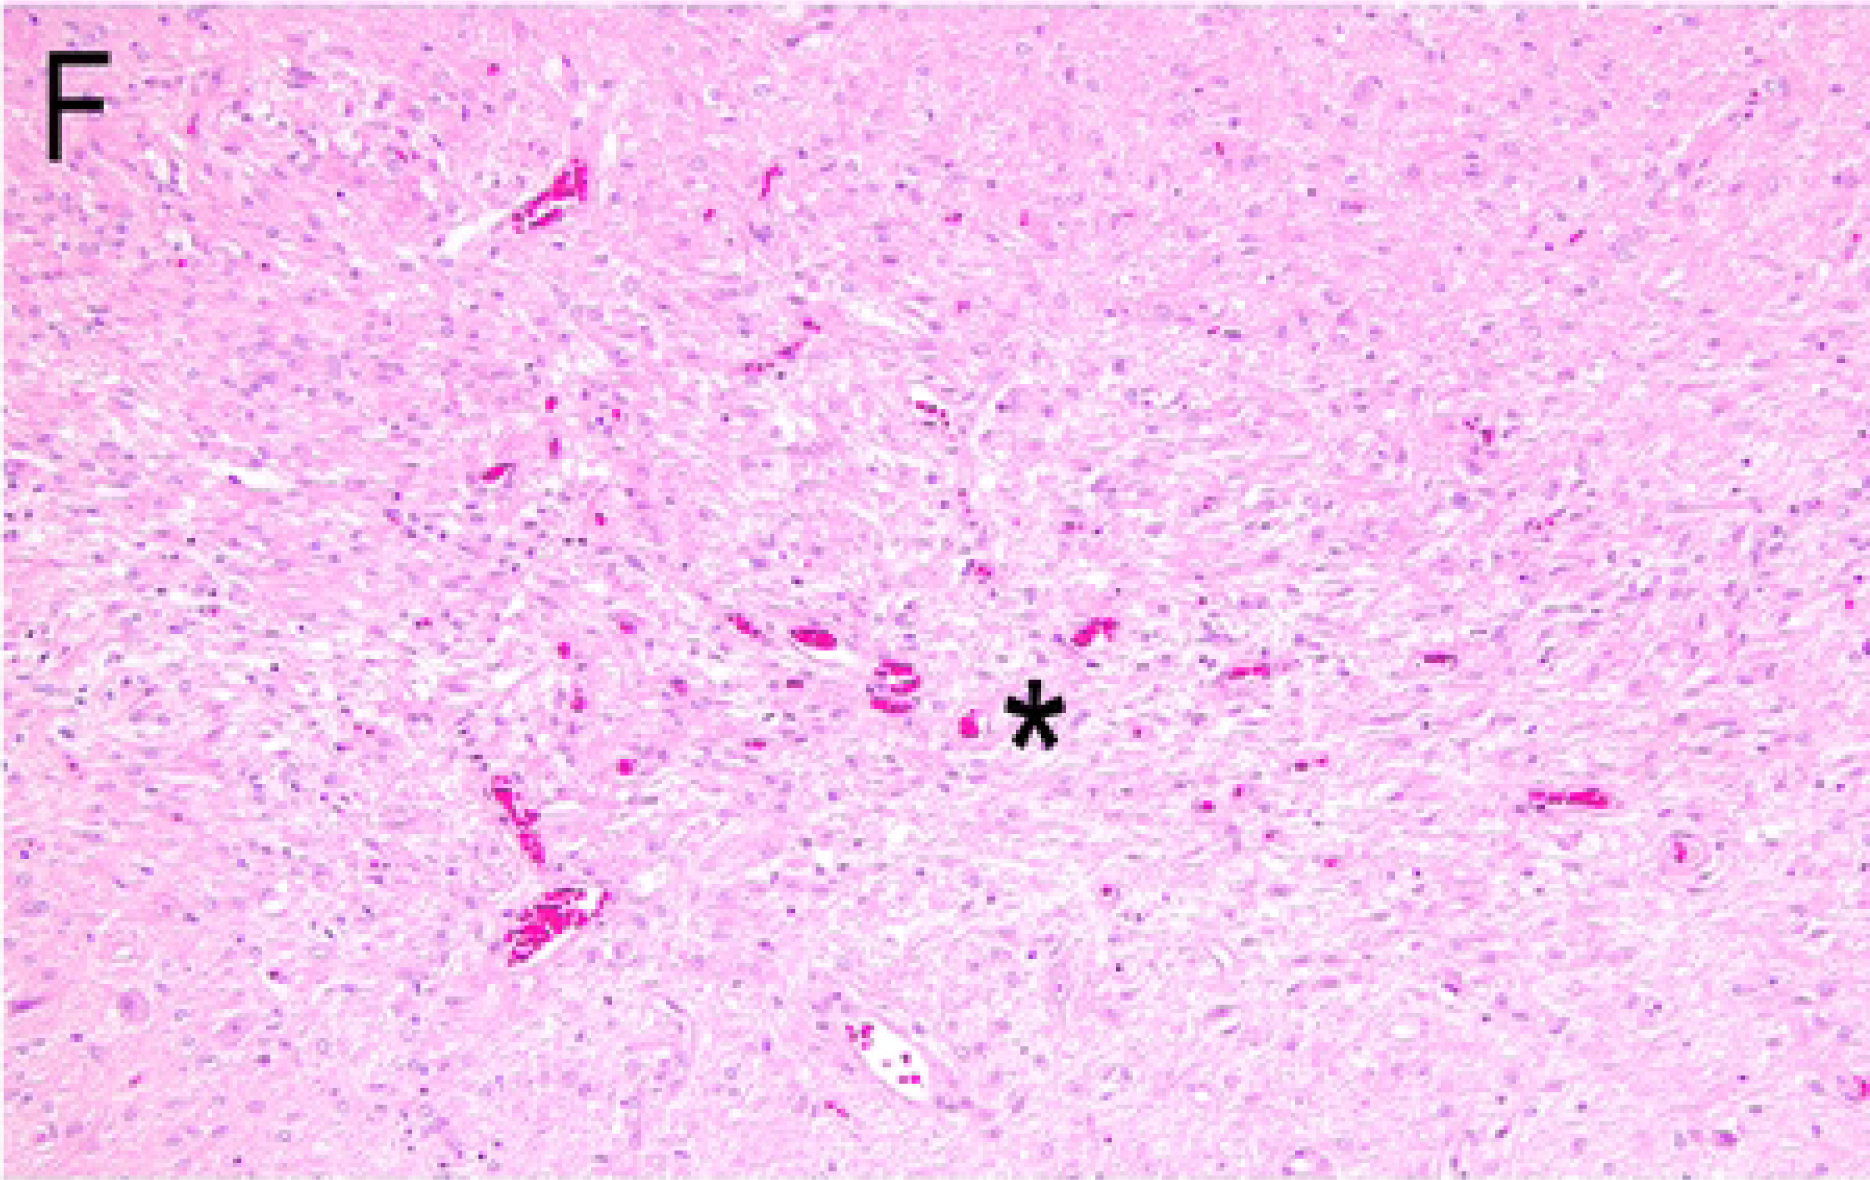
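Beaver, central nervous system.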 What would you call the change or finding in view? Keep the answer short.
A: Glial scar.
